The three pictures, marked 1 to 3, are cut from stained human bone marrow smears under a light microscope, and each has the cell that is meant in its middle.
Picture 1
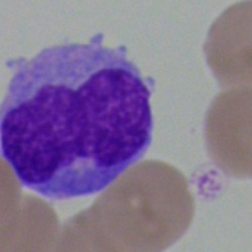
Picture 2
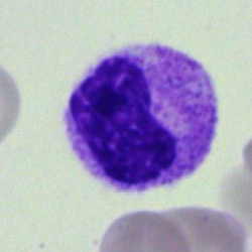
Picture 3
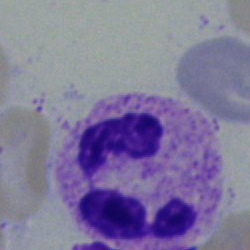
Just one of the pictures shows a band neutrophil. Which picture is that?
2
